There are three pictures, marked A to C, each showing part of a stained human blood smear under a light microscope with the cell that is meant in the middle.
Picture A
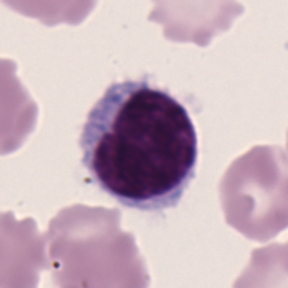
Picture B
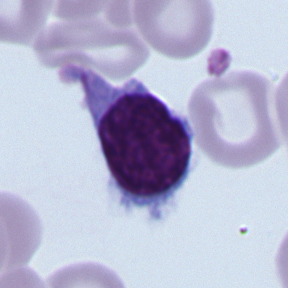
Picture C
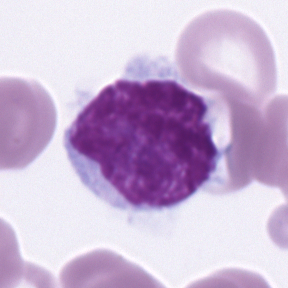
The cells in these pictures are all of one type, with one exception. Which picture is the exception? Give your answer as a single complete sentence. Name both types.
The others show hairy cells, but picture B shows a typical lymphocyte.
